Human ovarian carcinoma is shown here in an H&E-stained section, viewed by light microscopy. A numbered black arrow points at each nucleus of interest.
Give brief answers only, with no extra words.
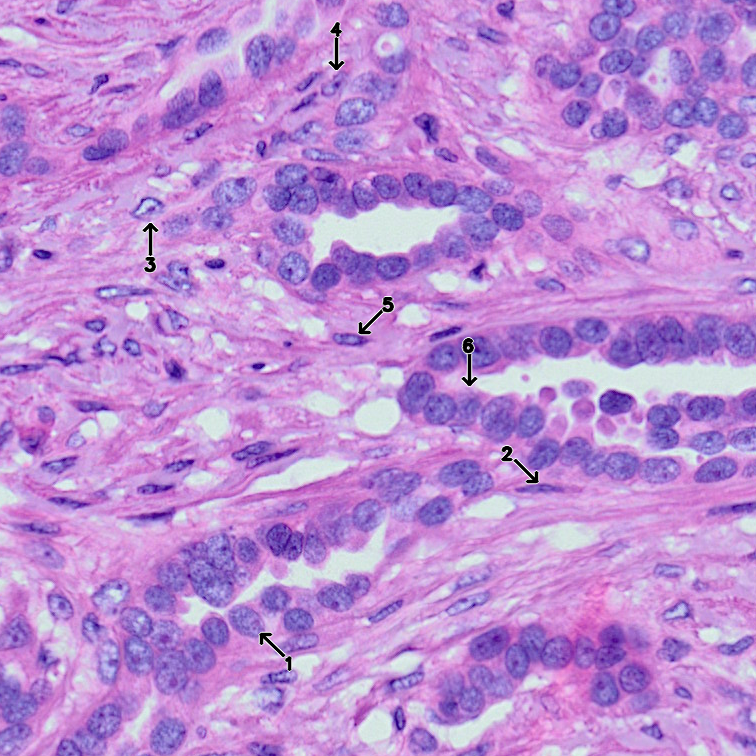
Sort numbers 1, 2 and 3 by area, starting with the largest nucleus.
1, 3, 2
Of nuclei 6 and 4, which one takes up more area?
6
